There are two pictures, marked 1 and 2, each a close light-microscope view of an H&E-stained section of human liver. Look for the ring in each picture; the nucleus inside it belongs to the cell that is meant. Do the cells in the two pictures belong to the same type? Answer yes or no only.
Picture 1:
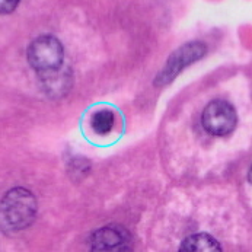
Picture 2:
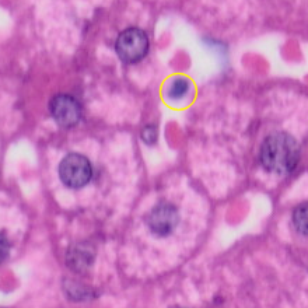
yes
